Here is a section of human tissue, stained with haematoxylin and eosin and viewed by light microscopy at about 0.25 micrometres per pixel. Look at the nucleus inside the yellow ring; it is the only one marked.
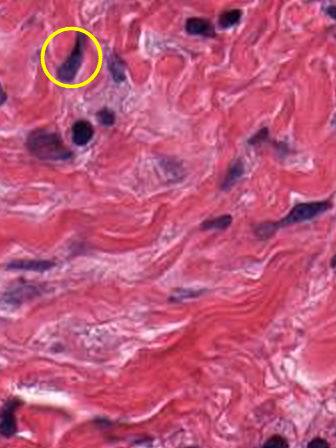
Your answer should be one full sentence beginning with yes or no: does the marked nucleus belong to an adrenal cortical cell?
No, the marked nucleus is not housed in an adrenal cortical cell but in a supporting cell.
